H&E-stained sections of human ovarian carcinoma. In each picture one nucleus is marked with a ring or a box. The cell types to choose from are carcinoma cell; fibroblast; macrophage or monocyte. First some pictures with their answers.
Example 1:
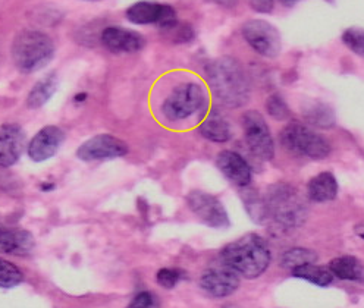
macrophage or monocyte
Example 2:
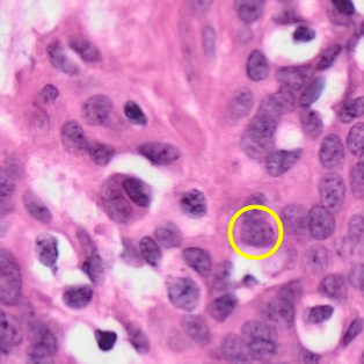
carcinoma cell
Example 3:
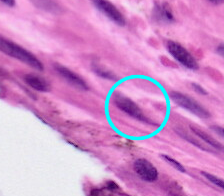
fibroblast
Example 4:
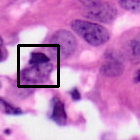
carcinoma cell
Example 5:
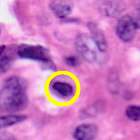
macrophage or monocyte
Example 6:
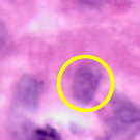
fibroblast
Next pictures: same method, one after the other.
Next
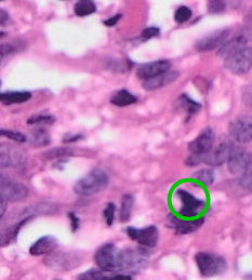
carcinoma cell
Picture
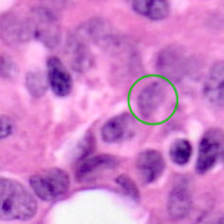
carcinoma cell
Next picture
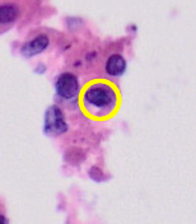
macrophage or monocyte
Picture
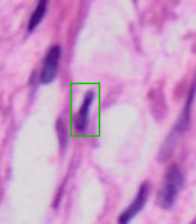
fibroblast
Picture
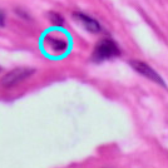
fibroblast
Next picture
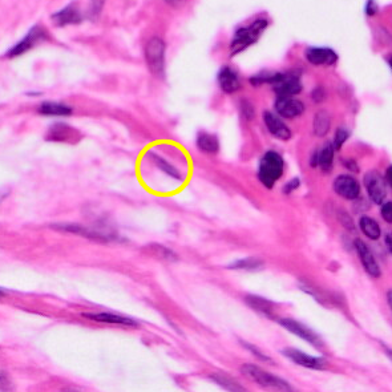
fibroblast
